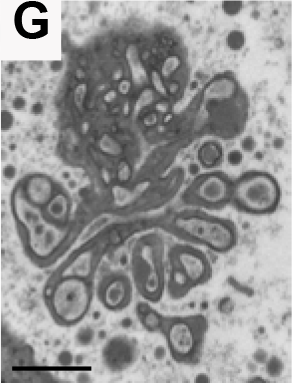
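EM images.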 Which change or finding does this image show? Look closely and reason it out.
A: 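Membrane blebbing. Many looped, rounded membrane-bounded protrusions project from a central body. The protrusions are outlined by dark membranes.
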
